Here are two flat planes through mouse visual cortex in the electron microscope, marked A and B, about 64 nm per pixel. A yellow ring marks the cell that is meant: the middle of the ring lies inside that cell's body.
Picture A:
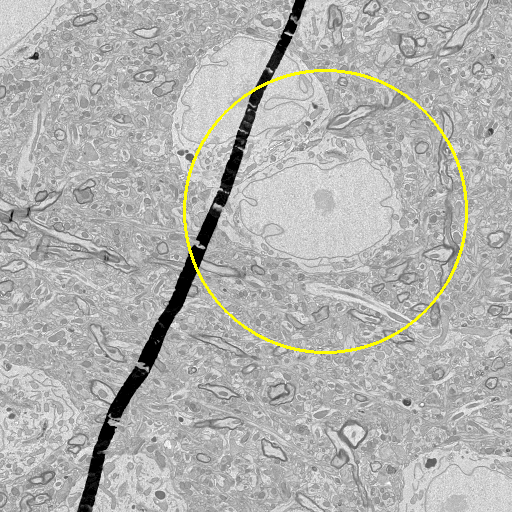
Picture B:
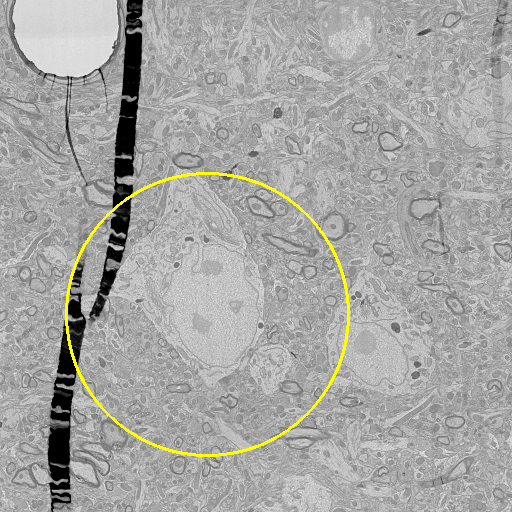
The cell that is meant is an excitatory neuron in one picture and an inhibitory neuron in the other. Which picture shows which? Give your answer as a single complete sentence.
Picture A is of an excitatory neuron, and picture B is of an inhibitory neuron.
